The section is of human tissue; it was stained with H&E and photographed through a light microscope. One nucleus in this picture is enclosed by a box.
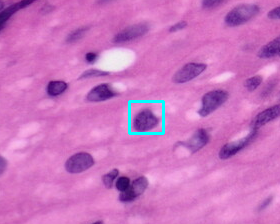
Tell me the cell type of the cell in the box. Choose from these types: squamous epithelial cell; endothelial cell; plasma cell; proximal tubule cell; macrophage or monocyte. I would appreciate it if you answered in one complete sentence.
To be brief about it, the cell in the box is a squamous epithelial cell.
